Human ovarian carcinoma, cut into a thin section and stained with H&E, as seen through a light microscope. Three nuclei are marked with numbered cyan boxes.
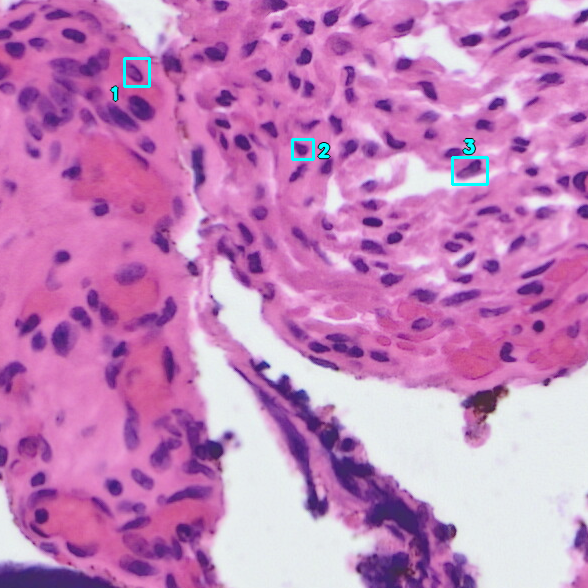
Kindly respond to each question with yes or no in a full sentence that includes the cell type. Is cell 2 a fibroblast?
Yes, the cell to which number 2 refers is a fibroblast.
